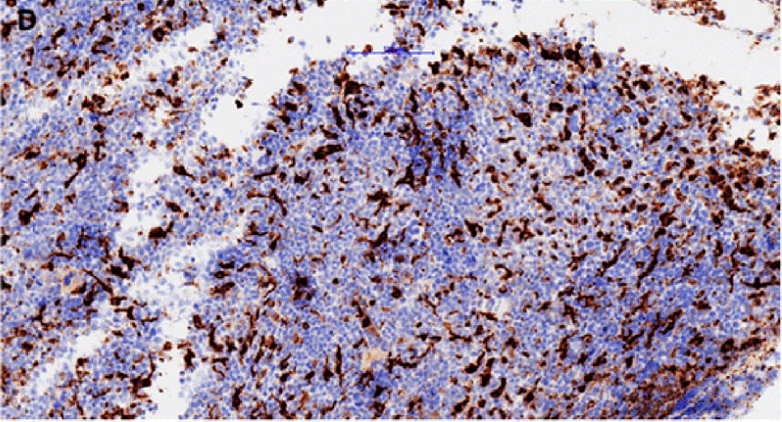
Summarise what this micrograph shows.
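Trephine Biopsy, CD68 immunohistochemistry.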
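Many have irregular, elongated or branching brown cytoplasm that reaches between neighbouring cells. The background is made up of numerous small round blue nuclei of unstained marrow cells. Clear cracks and spaces cross the tissue where the section has parted.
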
